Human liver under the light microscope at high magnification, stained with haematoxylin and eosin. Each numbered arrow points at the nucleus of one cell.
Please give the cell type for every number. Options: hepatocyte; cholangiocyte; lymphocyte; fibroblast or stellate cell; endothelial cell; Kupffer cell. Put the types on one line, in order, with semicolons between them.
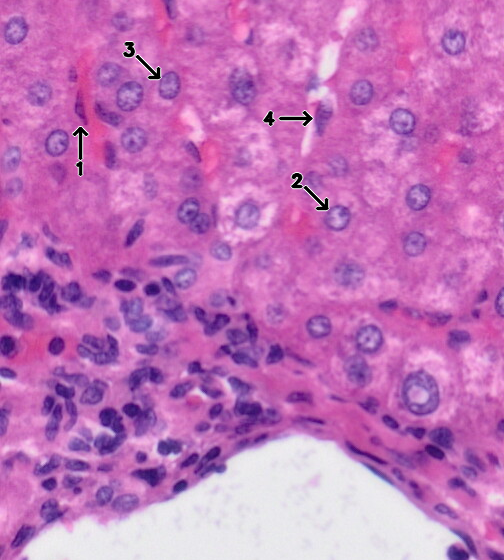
fibroblast or stellate cell; hepatocyte; hepatocyte; Kupffer cell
